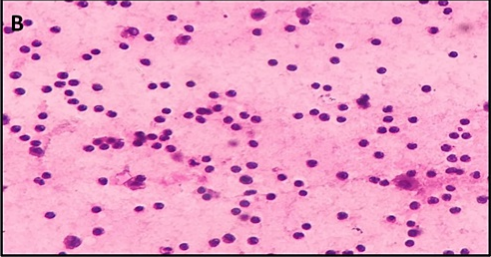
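The field is dominated by many small round cells with dark purple, dense nuclei and a thin rim of cytoplasm, spread evenly and singly, some in small loose groups. A few larger cells with more abundant, paler purple cytoplasm are scattered among them. Faint pink fibrillary material lies in the background between the cells. No large cohesive cell clusters are seen.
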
